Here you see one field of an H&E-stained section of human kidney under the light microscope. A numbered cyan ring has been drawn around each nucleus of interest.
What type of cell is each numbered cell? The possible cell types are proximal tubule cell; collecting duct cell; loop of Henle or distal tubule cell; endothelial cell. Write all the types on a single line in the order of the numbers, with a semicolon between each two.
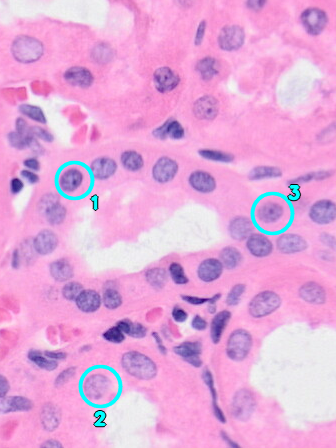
collecting duct cell; proximal tubule cell; collecting duct cell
